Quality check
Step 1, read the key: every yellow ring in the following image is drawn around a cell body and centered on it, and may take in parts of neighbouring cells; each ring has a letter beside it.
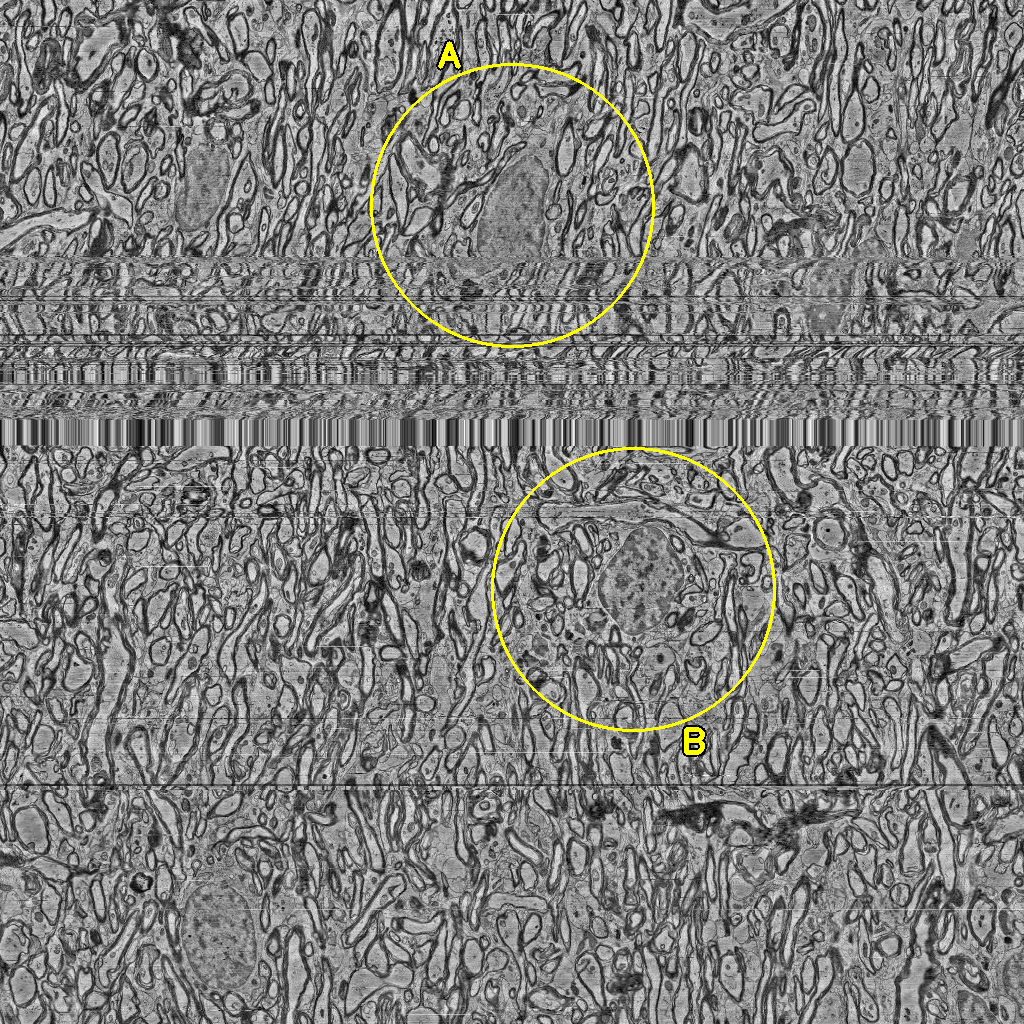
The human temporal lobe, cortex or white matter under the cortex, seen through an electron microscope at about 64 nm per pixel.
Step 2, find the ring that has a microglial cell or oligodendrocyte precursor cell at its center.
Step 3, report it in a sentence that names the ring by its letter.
Ring B is centered on that cell.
